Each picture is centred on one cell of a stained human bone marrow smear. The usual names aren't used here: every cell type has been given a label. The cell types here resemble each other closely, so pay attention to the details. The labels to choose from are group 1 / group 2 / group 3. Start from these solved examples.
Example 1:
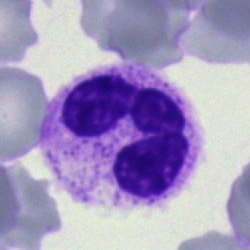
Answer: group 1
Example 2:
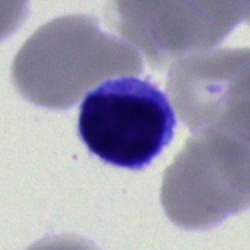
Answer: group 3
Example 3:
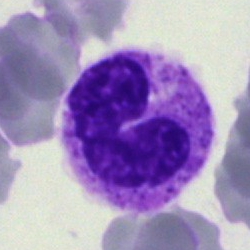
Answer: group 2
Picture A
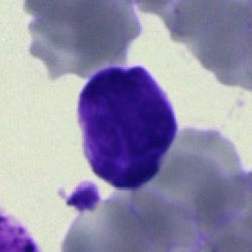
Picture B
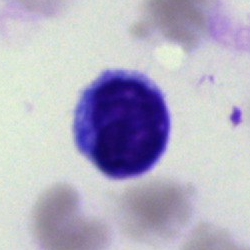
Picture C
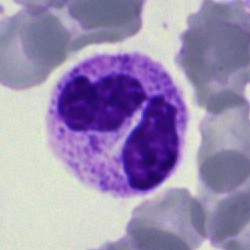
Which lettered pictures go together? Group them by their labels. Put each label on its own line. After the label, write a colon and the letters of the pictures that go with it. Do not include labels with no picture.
group 1: C
group 3: A, B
